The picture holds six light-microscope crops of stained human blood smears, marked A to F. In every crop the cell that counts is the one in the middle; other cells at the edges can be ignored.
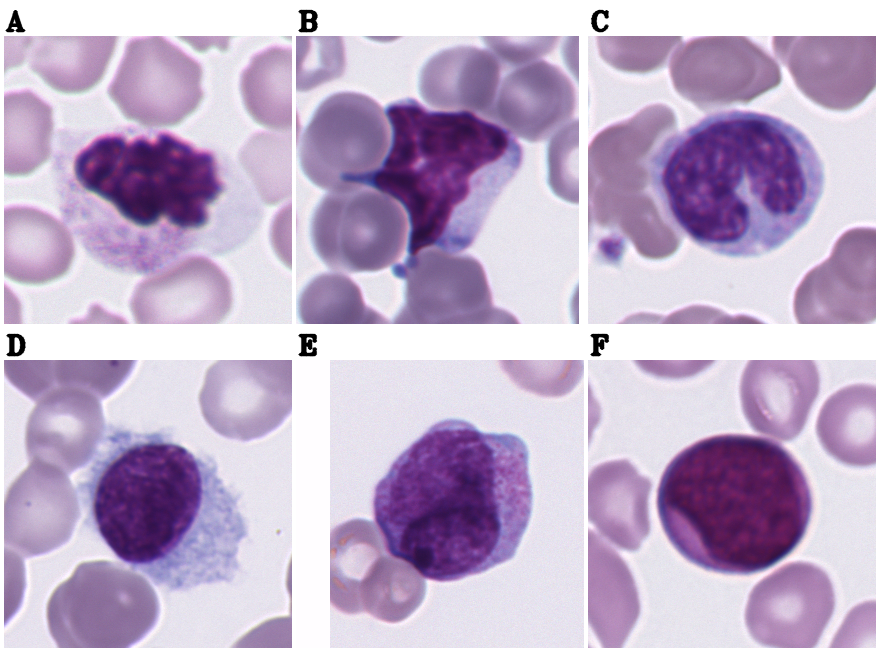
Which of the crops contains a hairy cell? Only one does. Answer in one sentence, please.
Crop D is the one in the set with a hairy cell at the center.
